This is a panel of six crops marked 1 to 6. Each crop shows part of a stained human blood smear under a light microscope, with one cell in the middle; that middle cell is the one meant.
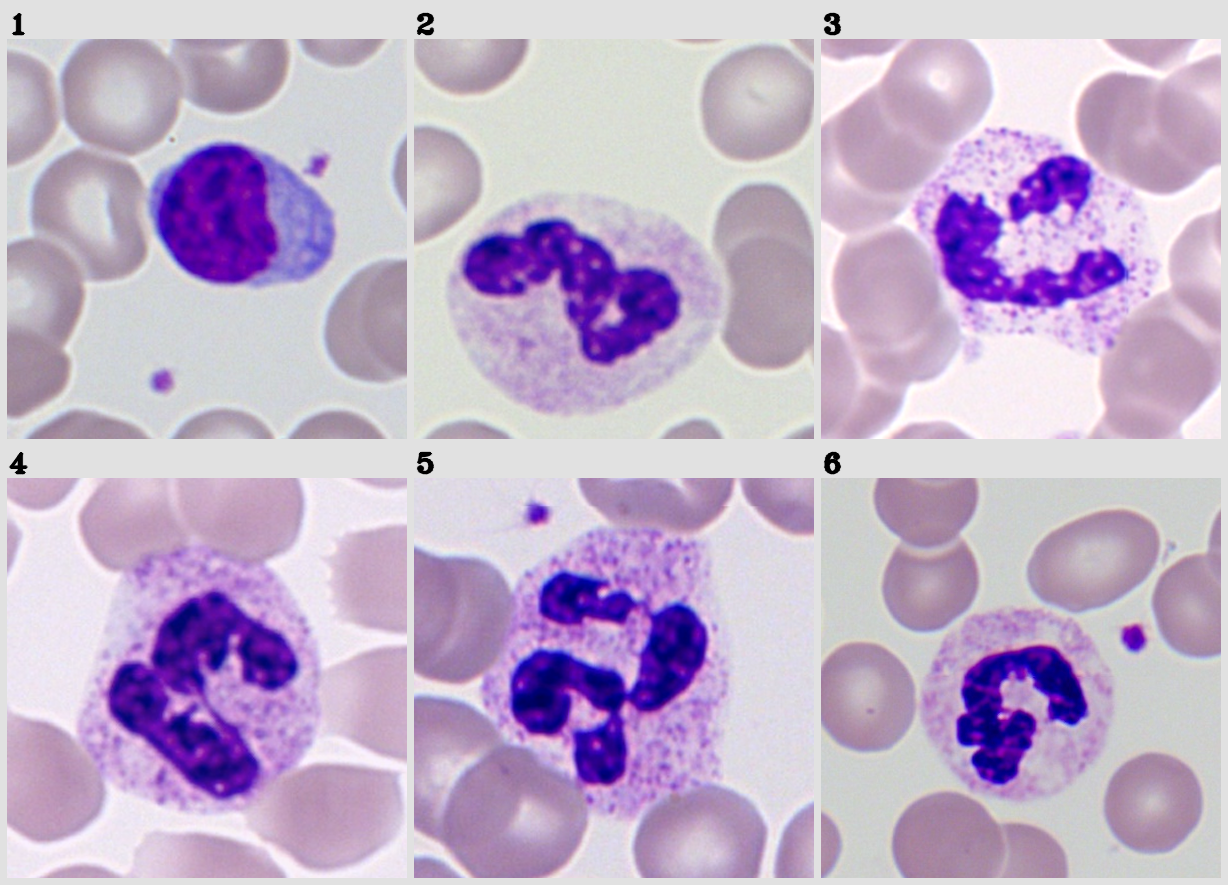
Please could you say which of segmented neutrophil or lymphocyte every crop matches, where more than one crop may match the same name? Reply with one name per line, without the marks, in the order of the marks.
lymphocyte
segmented neutrophil
segmented neutrophil
segmented neutrophil
segmented neutrophil
segmented neutrophil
